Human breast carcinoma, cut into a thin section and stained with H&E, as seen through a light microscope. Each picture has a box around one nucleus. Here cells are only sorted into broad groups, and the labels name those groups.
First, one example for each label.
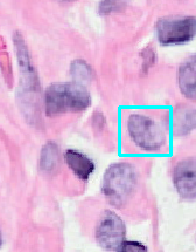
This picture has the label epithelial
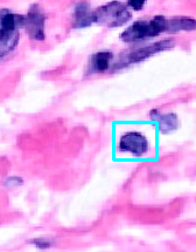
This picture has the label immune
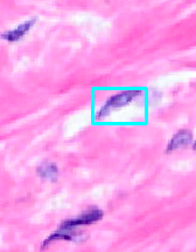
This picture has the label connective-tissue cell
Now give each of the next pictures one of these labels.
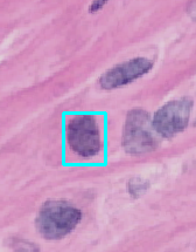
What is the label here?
epithelial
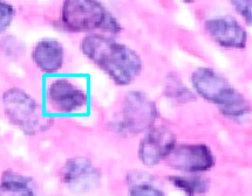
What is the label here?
epithelial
